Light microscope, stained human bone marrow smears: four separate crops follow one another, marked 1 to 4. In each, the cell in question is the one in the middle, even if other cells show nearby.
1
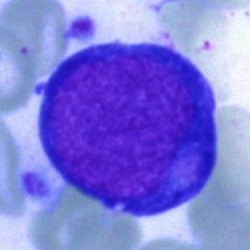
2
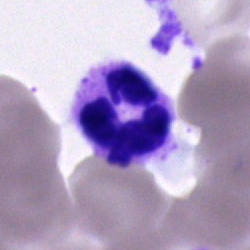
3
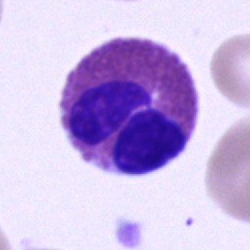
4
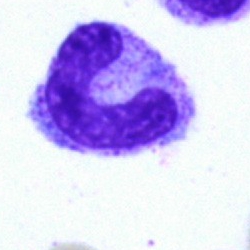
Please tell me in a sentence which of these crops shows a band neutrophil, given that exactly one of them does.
The crop marked 4 is the one that shows a band neutrophil.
